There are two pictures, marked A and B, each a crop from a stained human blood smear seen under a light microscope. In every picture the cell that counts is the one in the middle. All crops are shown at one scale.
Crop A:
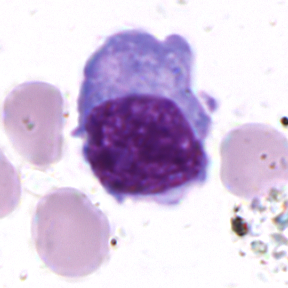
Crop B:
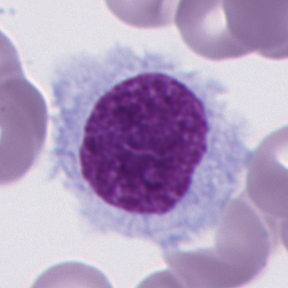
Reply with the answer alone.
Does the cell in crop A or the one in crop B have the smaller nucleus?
A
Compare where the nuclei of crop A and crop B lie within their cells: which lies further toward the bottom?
A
